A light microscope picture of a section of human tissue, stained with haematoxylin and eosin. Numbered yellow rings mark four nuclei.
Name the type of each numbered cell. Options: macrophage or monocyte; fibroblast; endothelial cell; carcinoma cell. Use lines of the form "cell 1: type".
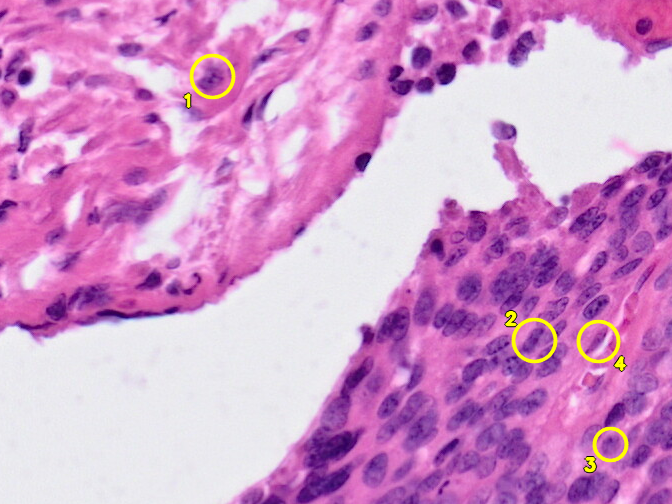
cell 1: fibroblast
cell 2: carcinoma cell
cell 3: macrophage or monocyte
cell 4: endothelial cell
